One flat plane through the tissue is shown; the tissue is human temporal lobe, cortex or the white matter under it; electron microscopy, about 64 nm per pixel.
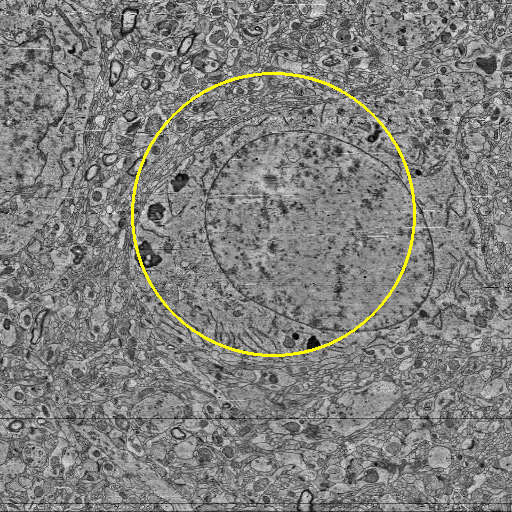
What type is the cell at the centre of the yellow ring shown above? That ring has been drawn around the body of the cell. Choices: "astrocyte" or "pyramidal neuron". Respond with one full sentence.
My answer is that a pyramidal neuron lies at the centre of the yellow ring above.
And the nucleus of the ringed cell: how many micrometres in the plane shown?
Roughly 16 micrometres by 13 micrometres, in this plane.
